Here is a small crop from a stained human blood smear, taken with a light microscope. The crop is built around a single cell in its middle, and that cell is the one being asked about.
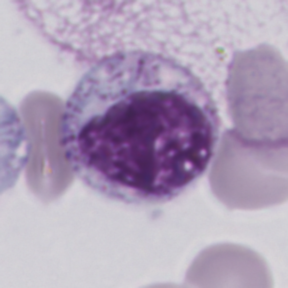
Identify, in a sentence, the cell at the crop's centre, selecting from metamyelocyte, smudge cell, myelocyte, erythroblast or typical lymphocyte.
Centrally within this crop lies a metamyelocyte.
